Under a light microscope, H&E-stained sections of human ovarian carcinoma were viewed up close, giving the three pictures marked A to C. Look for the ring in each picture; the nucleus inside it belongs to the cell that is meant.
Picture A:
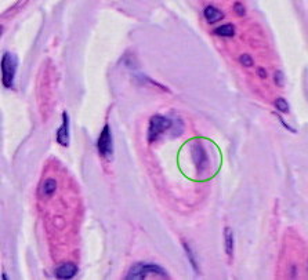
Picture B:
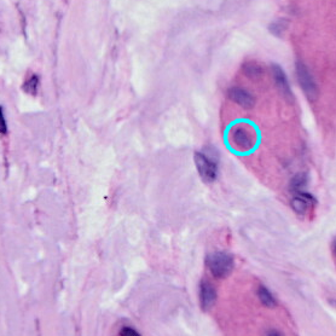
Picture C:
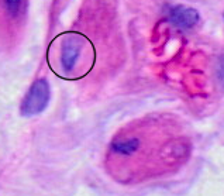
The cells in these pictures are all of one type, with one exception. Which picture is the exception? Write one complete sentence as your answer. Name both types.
Picture A differs, because its cell is an endothelial cell and the rest are smooth muscle cells.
